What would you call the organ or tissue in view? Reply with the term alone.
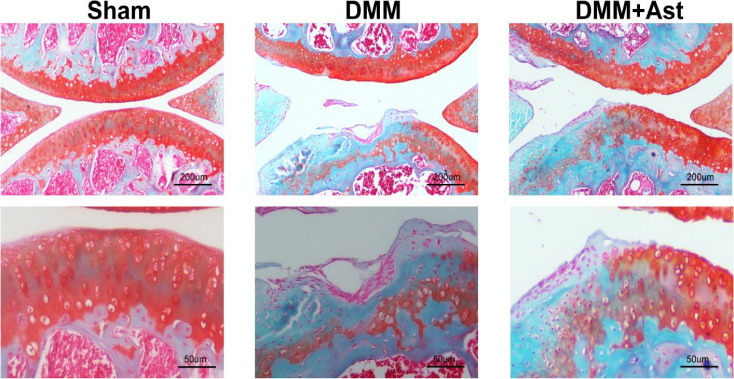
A: Cartilage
